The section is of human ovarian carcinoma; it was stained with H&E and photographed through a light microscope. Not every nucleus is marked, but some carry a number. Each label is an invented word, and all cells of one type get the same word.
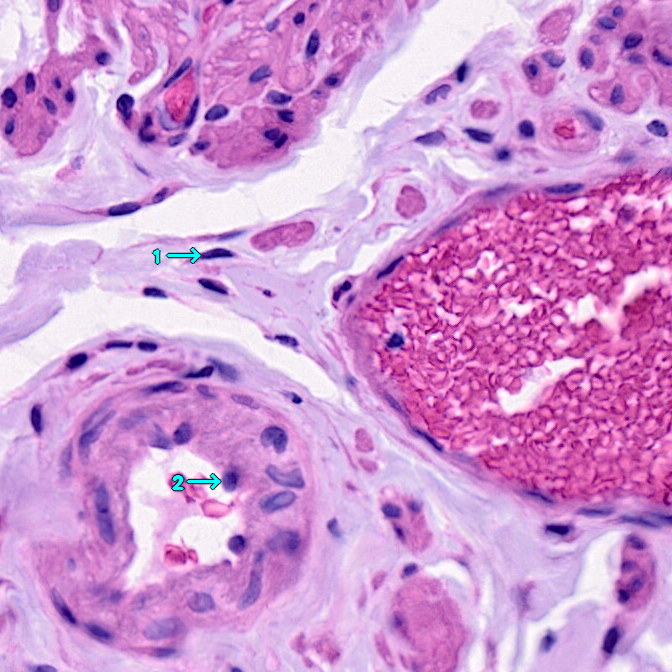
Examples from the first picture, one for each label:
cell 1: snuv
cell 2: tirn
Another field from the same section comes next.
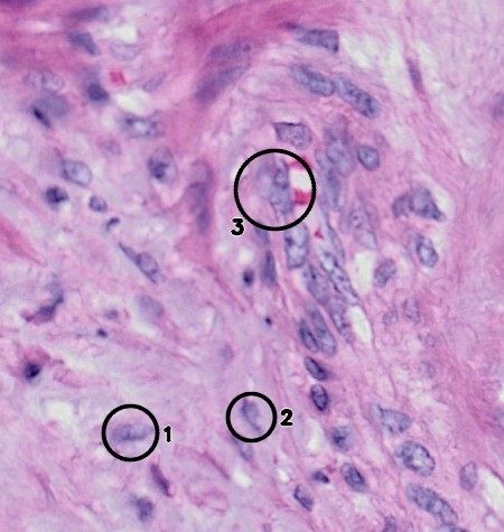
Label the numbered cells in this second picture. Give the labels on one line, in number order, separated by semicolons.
snuv; snuv; tirn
